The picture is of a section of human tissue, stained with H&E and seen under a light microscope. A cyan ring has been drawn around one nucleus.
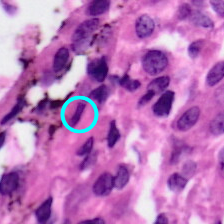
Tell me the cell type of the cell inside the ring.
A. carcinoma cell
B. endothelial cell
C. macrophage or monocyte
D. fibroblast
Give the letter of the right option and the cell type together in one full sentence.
Among the choices, option B is correct, the cell inside the ring being an endothelial cell.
